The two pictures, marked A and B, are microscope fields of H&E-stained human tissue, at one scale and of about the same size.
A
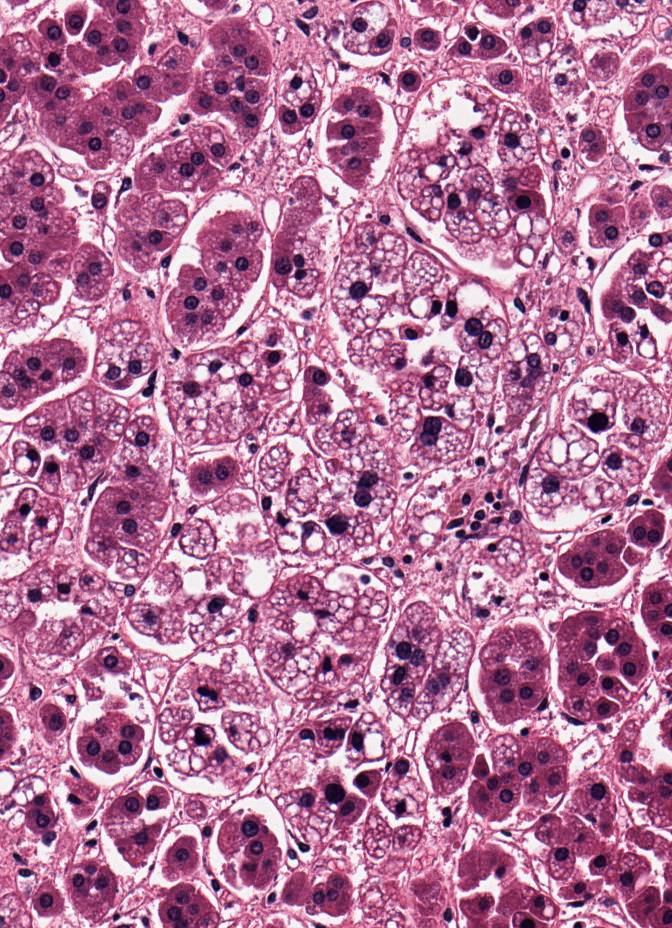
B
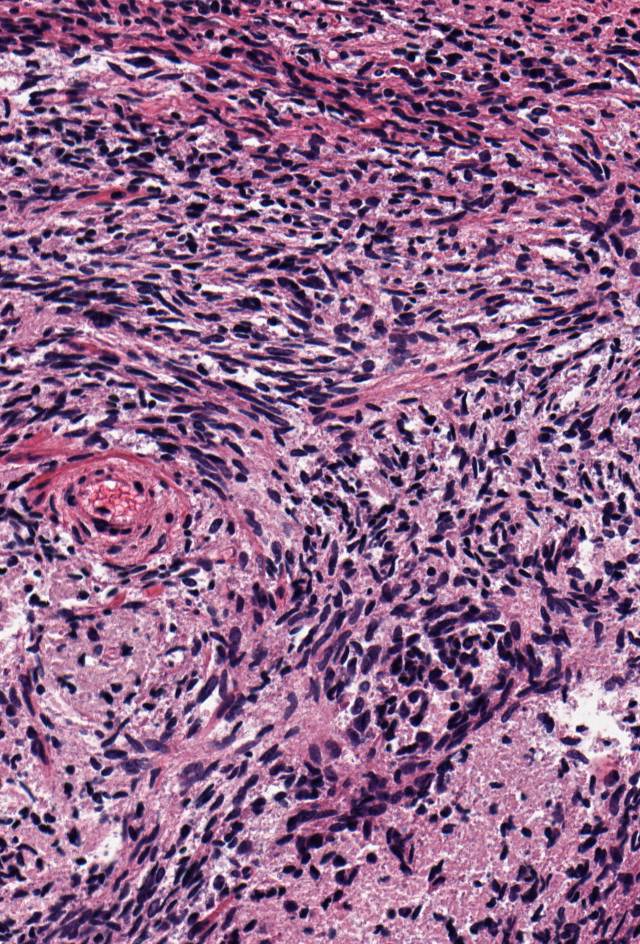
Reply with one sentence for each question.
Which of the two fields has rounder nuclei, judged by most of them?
On the whole the nuclei of field A are rounder than those of field B.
